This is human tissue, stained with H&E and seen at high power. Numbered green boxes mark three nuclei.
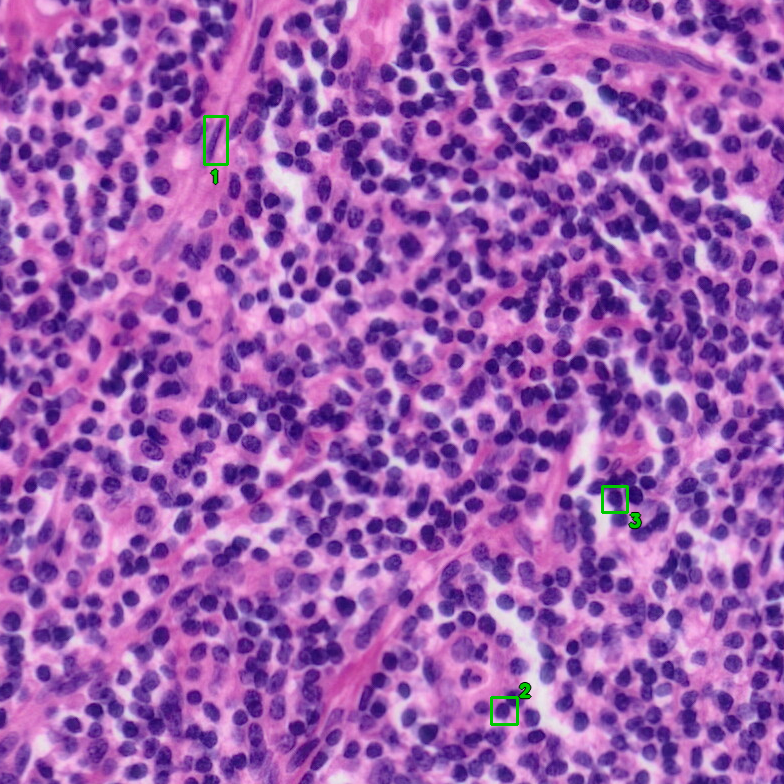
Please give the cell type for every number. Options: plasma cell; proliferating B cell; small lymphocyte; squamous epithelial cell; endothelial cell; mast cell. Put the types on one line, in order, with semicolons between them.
endothelial cell; small lymphocyte; small lymphocyte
